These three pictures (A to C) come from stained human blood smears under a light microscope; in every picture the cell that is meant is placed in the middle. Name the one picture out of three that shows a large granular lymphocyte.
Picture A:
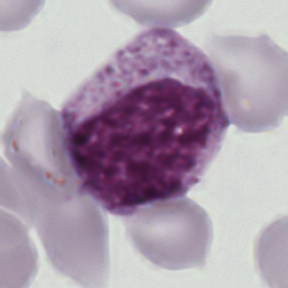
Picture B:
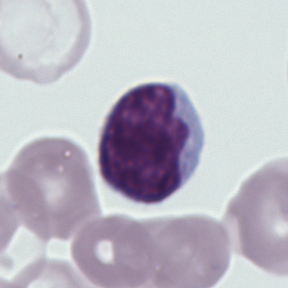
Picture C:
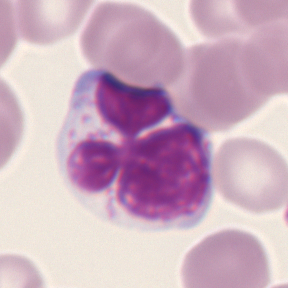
C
